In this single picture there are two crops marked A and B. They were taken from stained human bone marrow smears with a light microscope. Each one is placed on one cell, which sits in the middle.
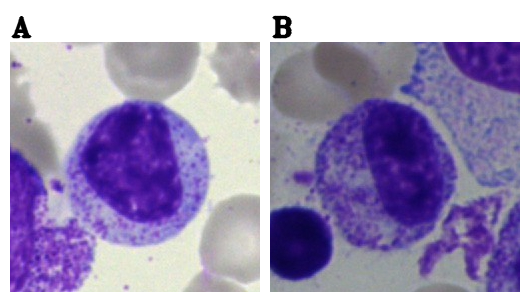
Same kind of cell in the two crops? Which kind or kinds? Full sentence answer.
Yes, the centred cells are myelocytes in both crops.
